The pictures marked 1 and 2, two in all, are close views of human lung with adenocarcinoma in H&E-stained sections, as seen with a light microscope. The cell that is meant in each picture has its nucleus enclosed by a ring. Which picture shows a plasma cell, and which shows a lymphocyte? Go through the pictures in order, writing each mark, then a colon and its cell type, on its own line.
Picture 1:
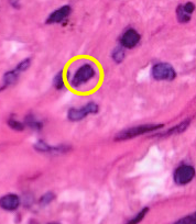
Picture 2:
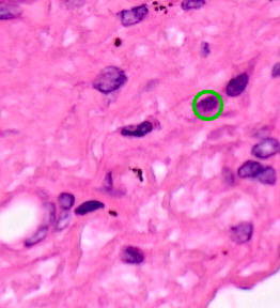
1: lymphocyte
2: plasma cell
